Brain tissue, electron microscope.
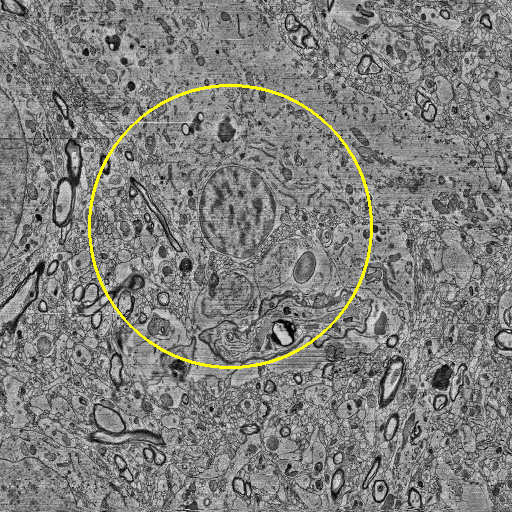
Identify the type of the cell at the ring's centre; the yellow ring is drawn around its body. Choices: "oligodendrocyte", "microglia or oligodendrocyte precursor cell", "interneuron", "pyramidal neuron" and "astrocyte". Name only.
microglia or oligodendrocyte precursor cell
